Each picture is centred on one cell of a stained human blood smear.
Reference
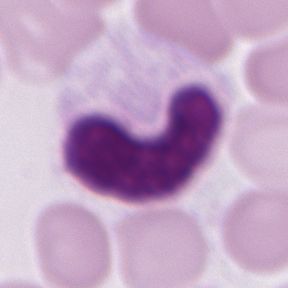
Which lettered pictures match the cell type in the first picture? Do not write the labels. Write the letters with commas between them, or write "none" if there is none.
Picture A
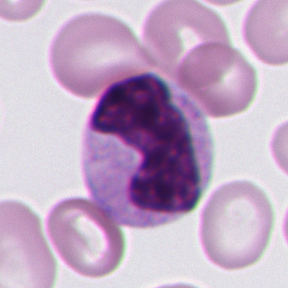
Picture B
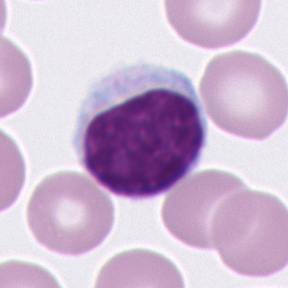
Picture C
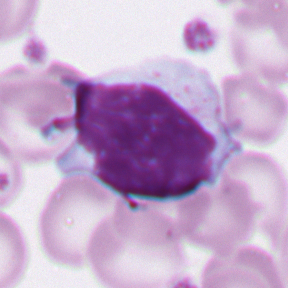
A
